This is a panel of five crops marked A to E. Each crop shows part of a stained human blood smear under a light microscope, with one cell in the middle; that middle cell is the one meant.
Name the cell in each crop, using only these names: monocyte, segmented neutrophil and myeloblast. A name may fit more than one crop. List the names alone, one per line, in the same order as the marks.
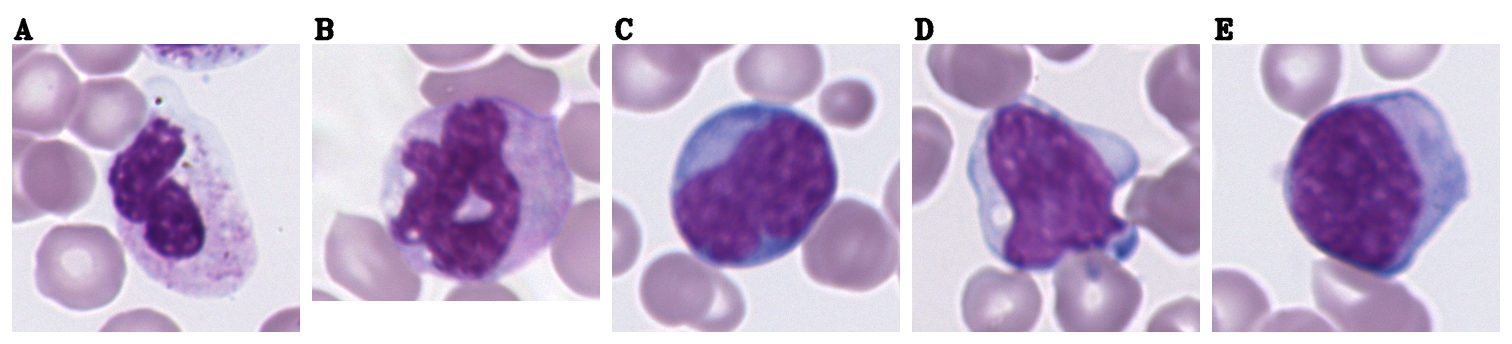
segmented neutrophil
monocyte
myeloblast
myeloblast
myeloblast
